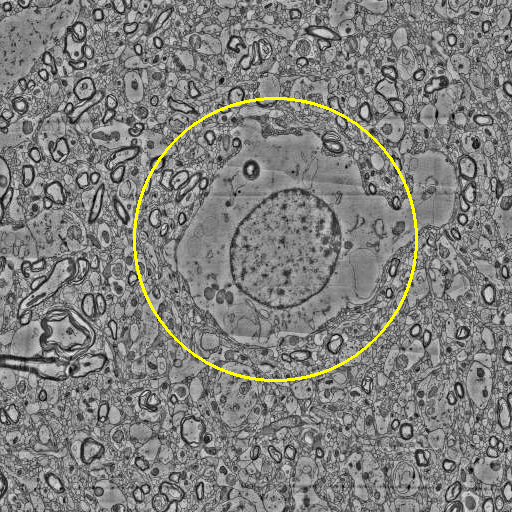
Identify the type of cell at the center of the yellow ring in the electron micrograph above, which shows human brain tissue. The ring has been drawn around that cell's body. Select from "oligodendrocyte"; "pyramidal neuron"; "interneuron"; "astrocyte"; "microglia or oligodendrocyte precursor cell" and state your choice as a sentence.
The yellow ring is centered on the body of an astrocyte.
